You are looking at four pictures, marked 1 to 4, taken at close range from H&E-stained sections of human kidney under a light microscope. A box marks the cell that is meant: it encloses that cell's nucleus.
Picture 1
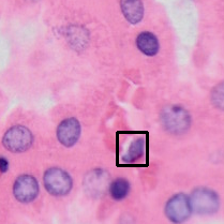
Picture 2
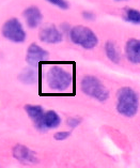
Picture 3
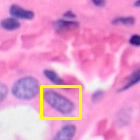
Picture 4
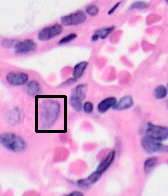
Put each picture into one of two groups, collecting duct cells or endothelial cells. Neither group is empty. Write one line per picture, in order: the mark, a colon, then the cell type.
1: endothelial cell
2: collecting duct cell
3: collecting duct cell
4: collecting duct cell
